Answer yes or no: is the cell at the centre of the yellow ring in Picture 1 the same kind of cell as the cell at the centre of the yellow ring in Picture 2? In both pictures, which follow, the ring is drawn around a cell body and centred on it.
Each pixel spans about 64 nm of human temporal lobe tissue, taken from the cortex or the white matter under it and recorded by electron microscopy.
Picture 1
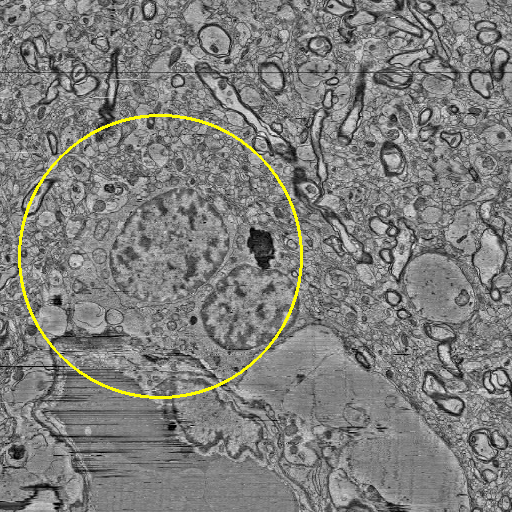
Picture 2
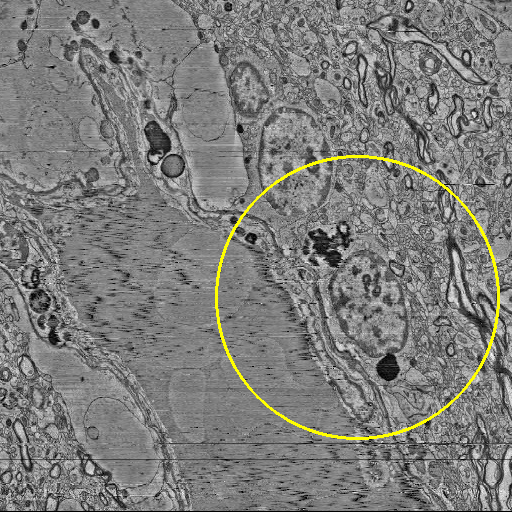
yes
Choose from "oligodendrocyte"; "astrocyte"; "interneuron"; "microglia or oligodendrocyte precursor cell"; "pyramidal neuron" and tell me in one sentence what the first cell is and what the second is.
The second cell is an oligodendrocyte, just as the first is.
